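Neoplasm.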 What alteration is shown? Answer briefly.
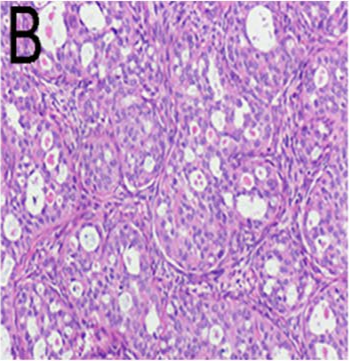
Cribriform or glandular pattern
